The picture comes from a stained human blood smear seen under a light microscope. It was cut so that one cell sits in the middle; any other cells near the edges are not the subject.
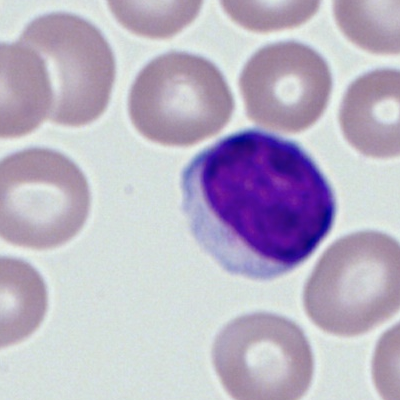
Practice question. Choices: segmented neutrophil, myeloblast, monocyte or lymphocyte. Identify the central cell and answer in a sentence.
In the crop, the cell of interest at the centre is a lymphocyte.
